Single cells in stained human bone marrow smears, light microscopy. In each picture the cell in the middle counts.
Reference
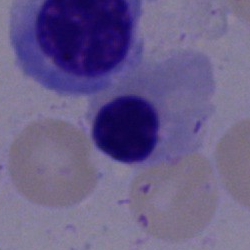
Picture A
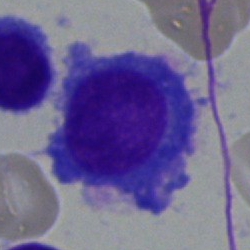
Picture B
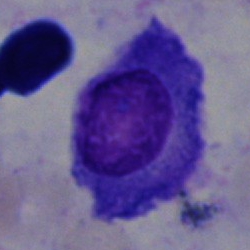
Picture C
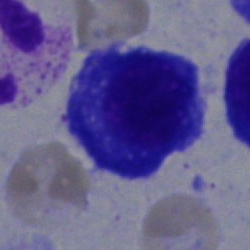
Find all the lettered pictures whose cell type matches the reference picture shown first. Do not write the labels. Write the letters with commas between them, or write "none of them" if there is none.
none of them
